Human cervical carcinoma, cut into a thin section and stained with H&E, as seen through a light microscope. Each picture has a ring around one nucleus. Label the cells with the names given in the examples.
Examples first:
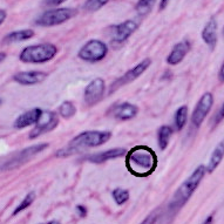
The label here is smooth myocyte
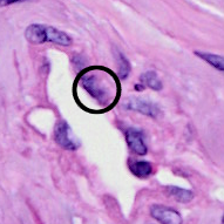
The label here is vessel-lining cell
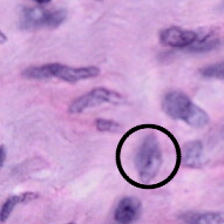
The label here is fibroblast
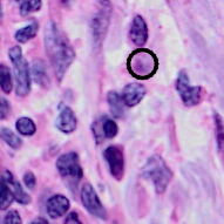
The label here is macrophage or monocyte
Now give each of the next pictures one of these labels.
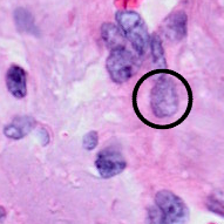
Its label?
vessel-lining cell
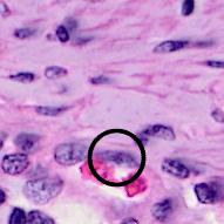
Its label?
vessel-lining cell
